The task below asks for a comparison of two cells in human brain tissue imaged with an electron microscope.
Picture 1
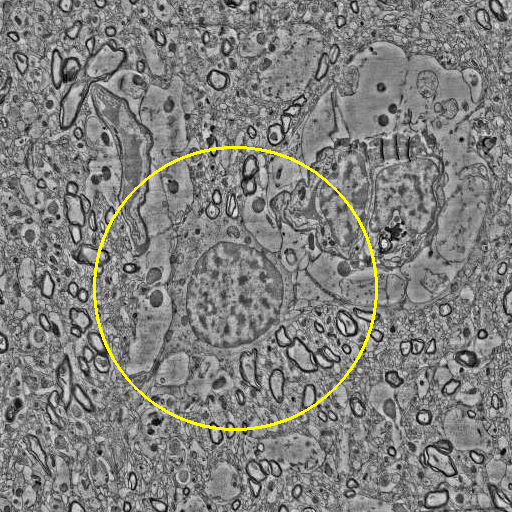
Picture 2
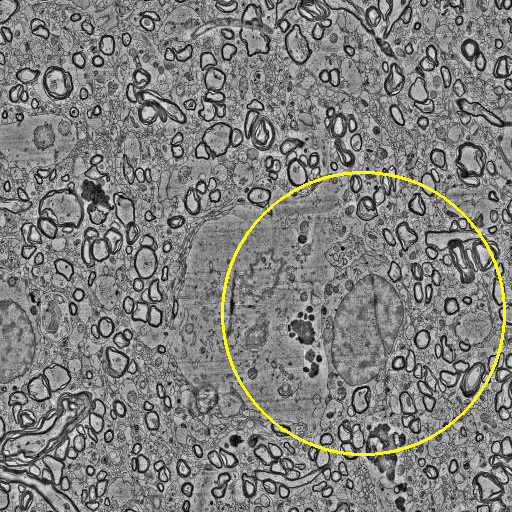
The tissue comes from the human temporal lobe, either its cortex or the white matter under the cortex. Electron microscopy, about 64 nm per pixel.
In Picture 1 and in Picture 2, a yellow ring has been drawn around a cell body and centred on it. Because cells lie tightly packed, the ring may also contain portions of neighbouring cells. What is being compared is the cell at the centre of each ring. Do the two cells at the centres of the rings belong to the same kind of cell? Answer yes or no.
yes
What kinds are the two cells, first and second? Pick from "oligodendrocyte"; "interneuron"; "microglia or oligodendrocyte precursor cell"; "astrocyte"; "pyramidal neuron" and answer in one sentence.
Each of the ringed cells, first and second, is an oligodendrocyte.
